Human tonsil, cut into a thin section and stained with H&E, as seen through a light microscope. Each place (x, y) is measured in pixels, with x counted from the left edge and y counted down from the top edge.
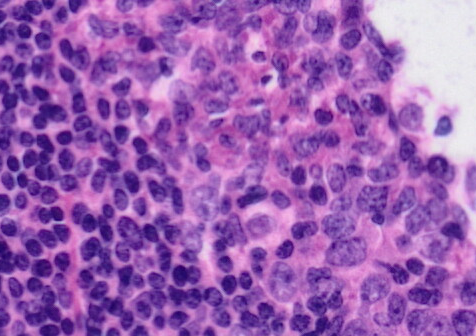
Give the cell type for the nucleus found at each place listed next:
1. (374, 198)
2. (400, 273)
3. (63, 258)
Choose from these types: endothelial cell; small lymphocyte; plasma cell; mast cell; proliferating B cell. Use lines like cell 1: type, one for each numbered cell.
cell 1: proliferating B cell
cell 2: proliferating B cell
cell 3: small lymphocyte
